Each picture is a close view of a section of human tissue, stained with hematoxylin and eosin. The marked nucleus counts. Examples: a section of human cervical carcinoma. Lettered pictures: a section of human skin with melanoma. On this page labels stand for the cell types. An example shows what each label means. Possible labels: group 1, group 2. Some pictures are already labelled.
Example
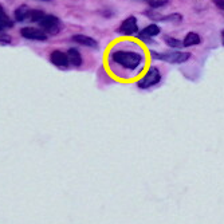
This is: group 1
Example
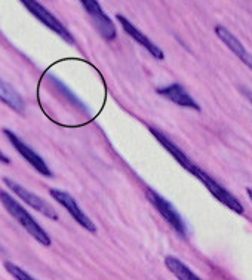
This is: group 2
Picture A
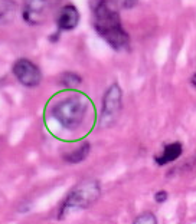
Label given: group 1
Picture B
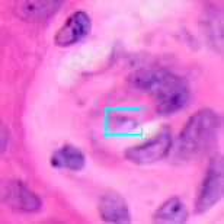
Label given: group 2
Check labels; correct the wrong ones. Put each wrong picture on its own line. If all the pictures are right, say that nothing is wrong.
A is labelled group 1; correct label: group 2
